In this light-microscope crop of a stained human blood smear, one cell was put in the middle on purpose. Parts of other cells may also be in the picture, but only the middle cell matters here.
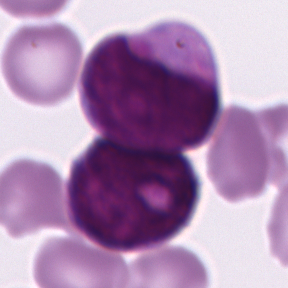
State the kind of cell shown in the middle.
blast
